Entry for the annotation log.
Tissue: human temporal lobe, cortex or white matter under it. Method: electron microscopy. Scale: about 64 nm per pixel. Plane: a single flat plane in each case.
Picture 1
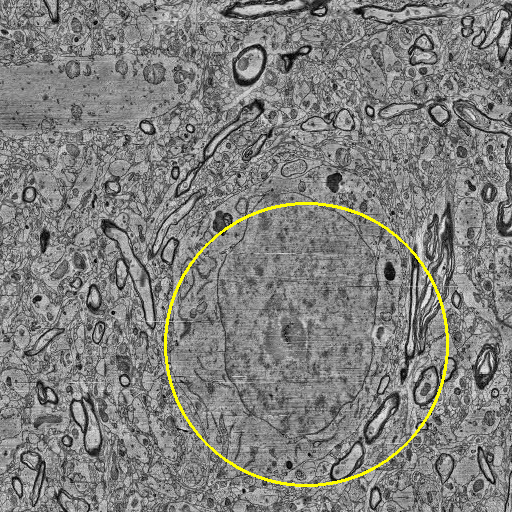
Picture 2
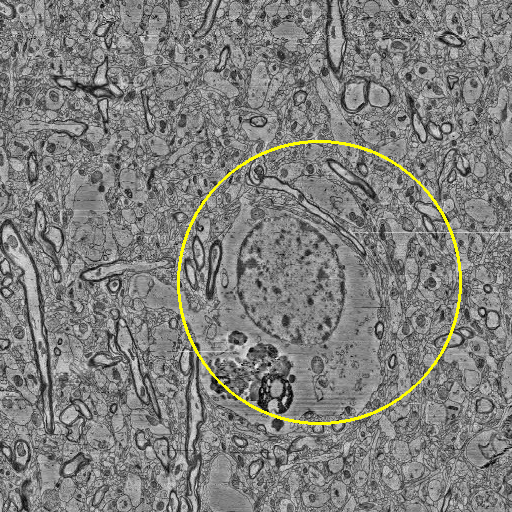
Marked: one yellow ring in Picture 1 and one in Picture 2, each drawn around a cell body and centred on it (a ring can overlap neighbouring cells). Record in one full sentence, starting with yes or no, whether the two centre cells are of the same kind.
No, the two cells are of two kinds.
